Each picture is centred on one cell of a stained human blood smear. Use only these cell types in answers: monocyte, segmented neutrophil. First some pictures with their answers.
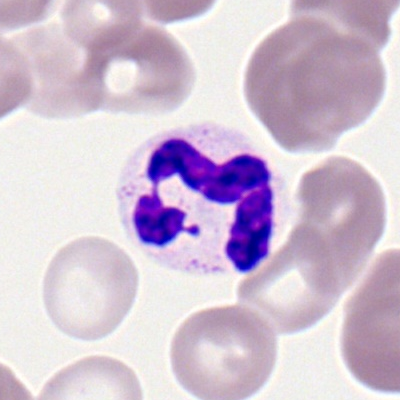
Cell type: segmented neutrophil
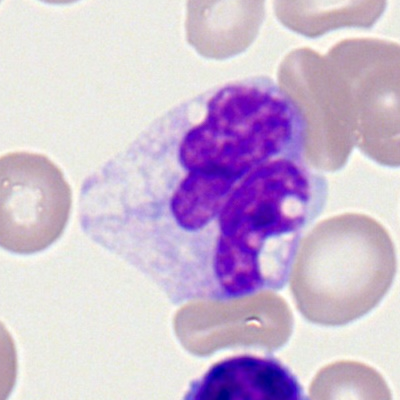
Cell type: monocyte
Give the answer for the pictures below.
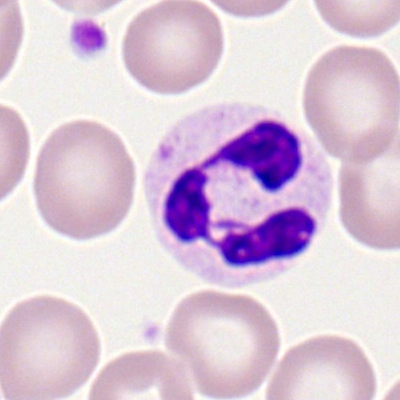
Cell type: segmented neutrophil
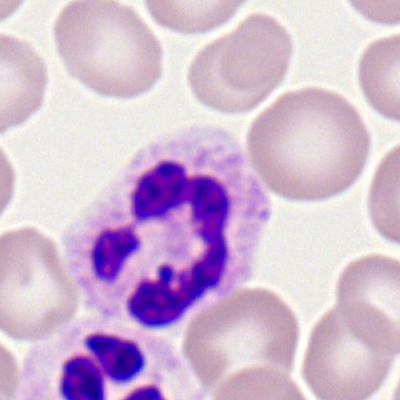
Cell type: segmented neutrophil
